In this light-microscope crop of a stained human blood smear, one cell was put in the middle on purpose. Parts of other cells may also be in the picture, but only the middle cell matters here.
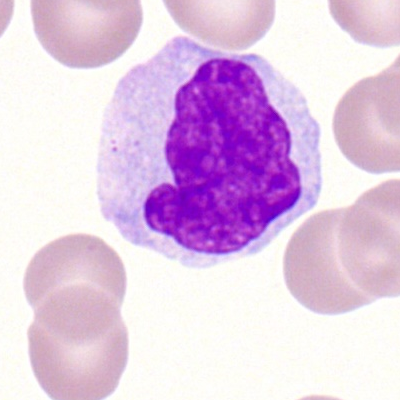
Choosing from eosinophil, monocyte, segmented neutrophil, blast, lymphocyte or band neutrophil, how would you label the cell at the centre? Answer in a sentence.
The center cell of this crop is a monocyte.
